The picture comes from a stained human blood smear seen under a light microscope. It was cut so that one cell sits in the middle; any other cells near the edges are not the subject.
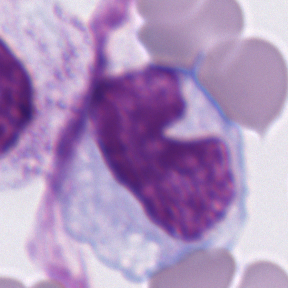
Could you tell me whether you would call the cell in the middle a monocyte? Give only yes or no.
yes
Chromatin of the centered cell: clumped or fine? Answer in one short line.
The chromatin is fine; coarse clumps are not a feature here.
